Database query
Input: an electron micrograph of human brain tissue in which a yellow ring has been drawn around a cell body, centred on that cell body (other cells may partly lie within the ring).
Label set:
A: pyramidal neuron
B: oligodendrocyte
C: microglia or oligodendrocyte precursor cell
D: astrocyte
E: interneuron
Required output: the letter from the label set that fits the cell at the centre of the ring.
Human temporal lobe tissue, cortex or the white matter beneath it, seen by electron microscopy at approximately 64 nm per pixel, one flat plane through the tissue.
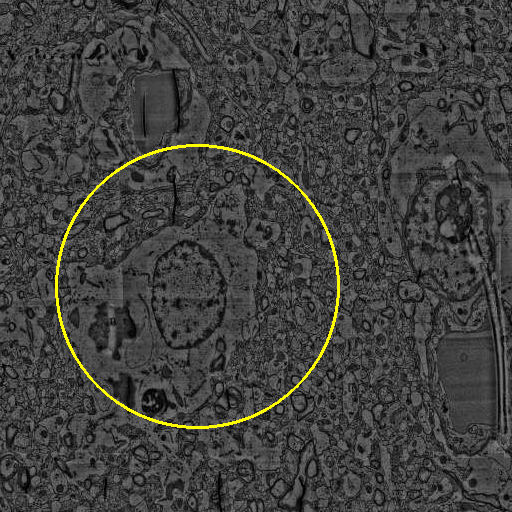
D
